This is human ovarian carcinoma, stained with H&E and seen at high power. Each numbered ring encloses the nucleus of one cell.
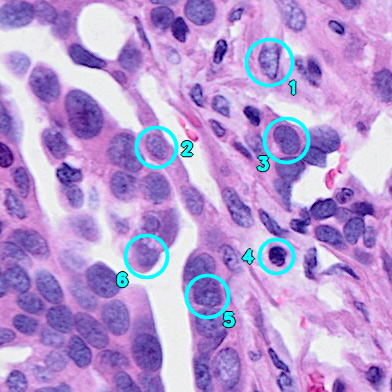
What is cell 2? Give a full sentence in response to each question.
The marked cell bearing number 2 is a carcinoma cell.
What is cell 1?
In the marked set, the cell given number 1 is a fibroblast.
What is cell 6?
The one labeled 6 is a carcinoma cell, to put it simply.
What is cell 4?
Heads up, the cell numbered 4 is a lymphocyte.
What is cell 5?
The correct answer for cell 5 is a carcinoma cell.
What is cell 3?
Marked with the number 3, this cell is a carcinoma cell.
